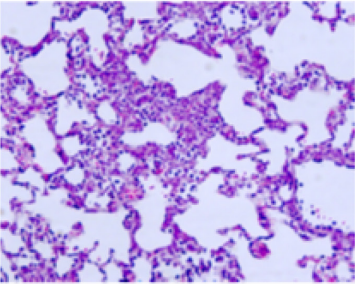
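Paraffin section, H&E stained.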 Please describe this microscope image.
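This is lung tissue with a heavy inflammatory cell infiltrate, seen in a section stained pink and purple. The alveolar spaces are partly preserved at the edges, but their walls appear thickened and more cellular than in normal lung. In the centre a large patch is packed with small cells whose dark purple nuclei crowd together, effacing the usual alveolar outlines. Pink-staining material lies among the cells and along the septa. The overall architecture is disturbed, with irregular, collapsed-looking air spaces beside the dense cellular area.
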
